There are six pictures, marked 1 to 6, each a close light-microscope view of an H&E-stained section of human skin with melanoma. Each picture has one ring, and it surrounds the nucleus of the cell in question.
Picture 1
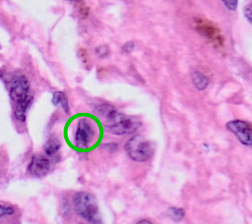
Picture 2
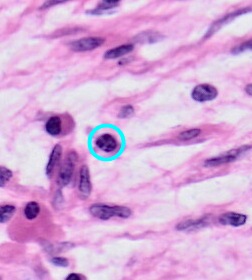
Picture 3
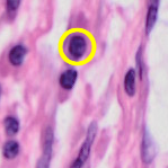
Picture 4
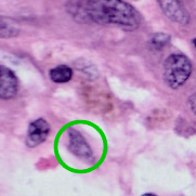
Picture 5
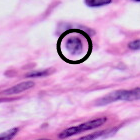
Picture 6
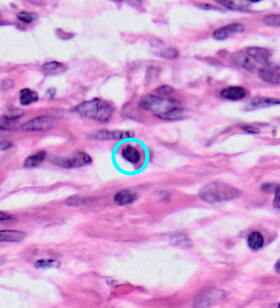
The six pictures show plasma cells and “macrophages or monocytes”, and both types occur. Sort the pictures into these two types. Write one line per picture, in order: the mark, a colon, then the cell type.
1: macrophage or monocyte
2: plasma cell
3: plasma cell
4: macrophage or monocyte
5: plasma cell
6: plasma cell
